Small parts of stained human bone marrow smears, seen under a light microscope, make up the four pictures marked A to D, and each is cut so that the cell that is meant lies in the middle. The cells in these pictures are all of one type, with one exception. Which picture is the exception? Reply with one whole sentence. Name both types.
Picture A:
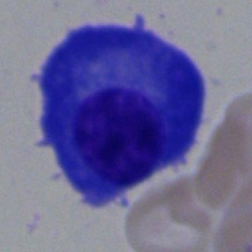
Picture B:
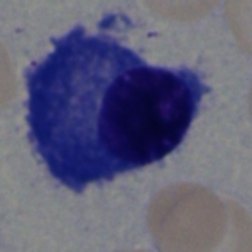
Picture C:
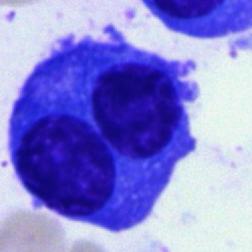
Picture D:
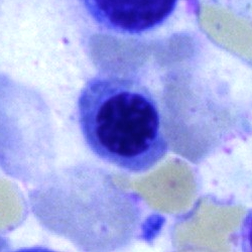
Unlike the rest, which show plasma cells, picture D shows an erythroblast.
